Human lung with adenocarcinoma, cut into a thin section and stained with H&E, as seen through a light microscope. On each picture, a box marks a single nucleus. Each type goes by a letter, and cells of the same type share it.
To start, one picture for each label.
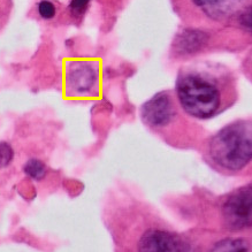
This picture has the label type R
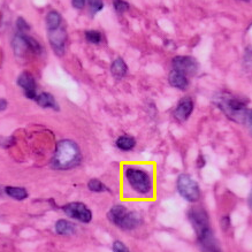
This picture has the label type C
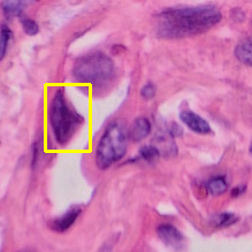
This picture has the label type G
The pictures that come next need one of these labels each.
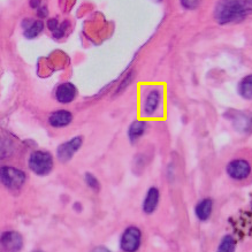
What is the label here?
type C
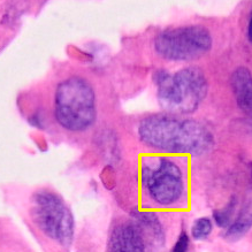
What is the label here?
type G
